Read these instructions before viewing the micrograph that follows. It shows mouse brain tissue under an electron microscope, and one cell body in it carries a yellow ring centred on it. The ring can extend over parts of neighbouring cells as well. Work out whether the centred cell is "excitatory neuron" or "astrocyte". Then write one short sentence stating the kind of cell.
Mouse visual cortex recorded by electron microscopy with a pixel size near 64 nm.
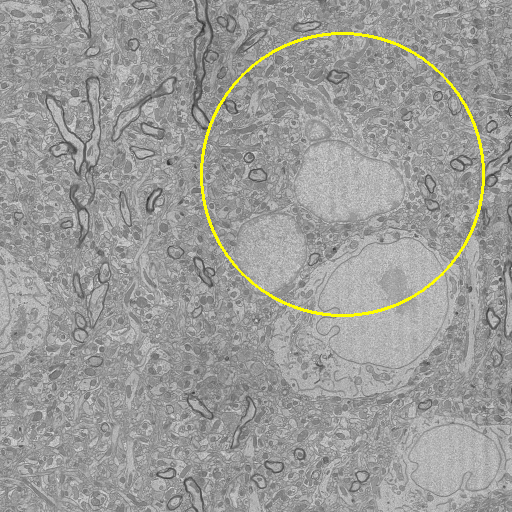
The ringed cell is an astrocyte.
